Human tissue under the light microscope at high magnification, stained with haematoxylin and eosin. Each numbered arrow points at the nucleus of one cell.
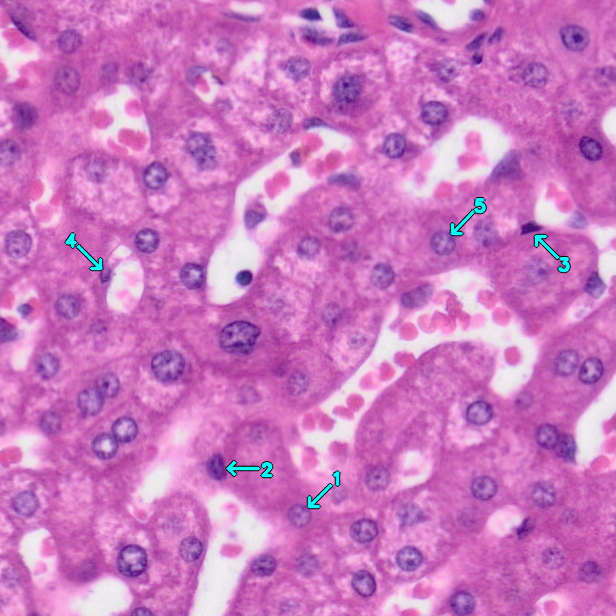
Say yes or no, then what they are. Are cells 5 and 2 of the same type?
No, listen: cell 5 is a hepatocyte and cell 2 is a fibroblast or stellate cell.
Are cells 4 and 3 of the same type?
No, cell 4 is interpreted as a Kupffer cell, and cell 3 is interpreted as a fibroblast or stellate cell.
